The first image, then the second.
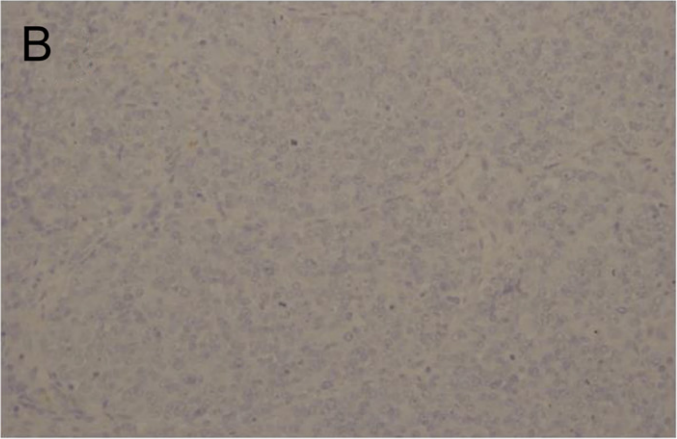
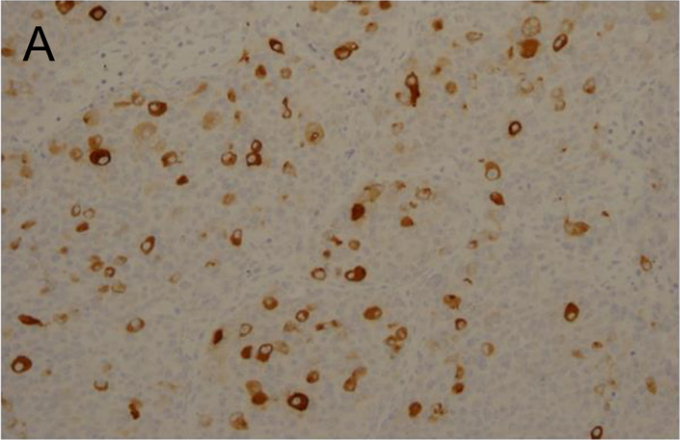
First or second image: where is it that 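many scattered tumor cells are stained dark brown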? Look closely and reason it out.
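First image: the tumor cells show only pale blue-grey counterstain, with no brown. Second image: numerous scattered round cells stand out with strong brown cytoplasm against a pale background.
Hence: the second image.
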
